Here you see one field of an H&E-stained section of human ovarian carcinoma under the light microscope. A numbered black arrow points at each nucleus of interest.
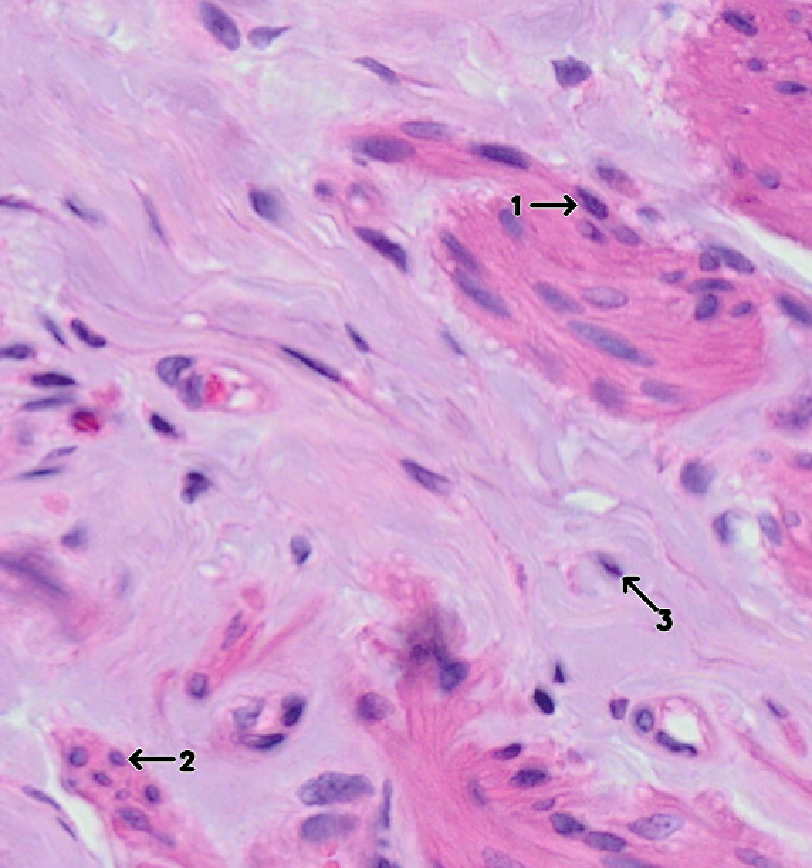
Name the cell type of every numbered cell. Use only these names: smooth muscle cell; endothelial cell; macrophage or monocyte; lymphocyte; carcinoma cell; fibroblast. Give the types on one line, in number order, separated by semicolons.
smooth muscle cell; smooth muscle cell; fibroblast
